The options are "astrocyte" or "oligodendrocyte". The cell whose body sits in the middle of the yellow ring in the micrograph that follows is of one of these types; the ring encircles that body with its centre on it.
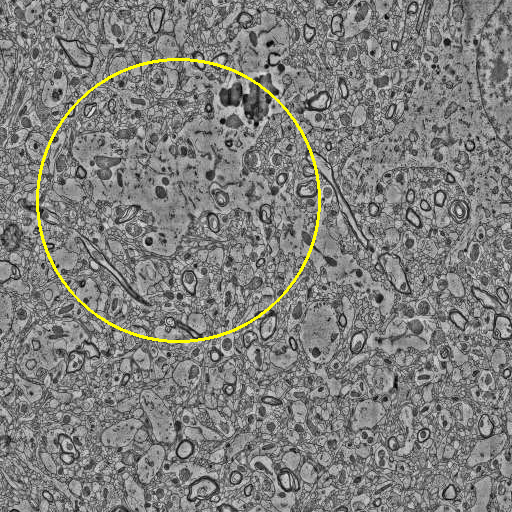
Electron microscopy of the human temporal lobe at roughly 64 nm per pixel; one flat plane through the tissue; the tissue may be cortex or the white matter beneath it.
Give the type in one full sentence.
Going by the micrograph, the cell centred in the yellow ring is an astrocyte.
